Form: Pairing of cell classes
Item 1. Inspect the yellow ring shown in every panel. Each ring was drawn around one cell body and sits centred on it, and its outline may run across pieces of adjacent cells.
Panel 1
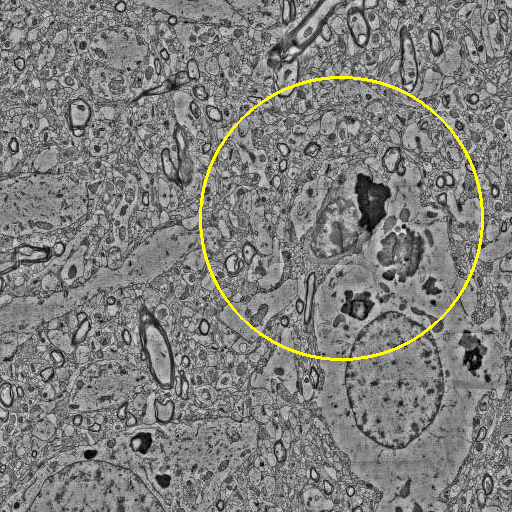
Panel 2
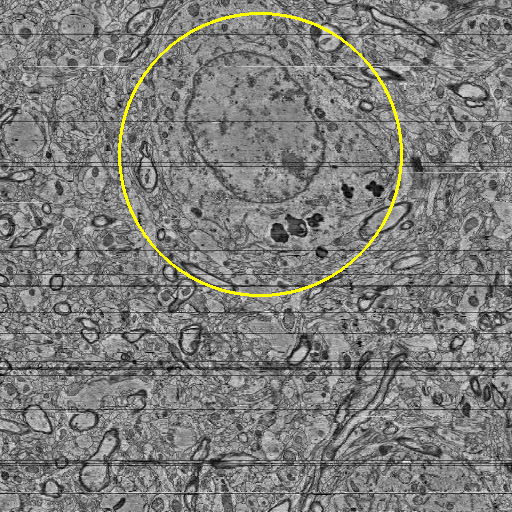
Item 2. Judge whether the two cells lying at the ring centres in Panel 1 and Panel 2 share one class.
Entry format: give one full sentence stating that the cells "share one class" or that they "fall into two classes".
The cells at the ring centres in Panel 1 and Panel 2 fall into two classes.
